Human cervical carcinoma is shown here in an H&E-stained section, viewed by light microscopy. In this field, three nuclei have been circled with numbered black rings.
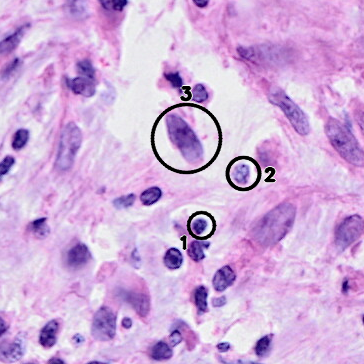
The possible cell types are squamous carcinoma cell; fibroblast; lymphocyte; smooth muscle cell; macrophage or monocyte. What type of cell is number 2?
lymphocyte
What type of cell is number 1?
lymphocyte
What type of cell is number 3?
macrophage or monocyte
